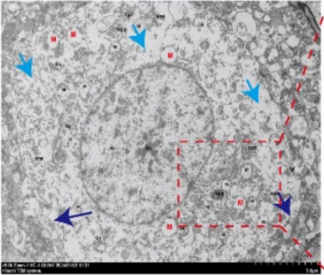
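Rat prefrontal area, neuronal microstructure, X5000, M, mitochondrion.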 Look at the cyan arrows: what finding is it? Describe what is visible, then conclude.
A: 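The cytoplasm around the nucleus is pale and washed-out. Little dense material lies between the organelles where the arrows point.
Conclusion: sparse intracellular matrix with decreased electron density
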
